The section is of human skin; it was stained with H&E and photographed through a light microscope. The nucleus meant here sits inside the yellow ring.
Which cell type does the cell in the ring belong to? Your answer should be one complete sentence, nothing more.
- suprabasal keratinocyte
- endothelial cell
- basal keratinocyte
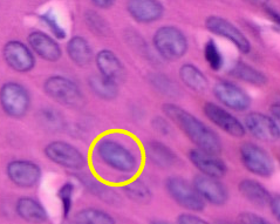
As a matter of cell type, the cell in the ring is a suprabasal keratinocyte.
